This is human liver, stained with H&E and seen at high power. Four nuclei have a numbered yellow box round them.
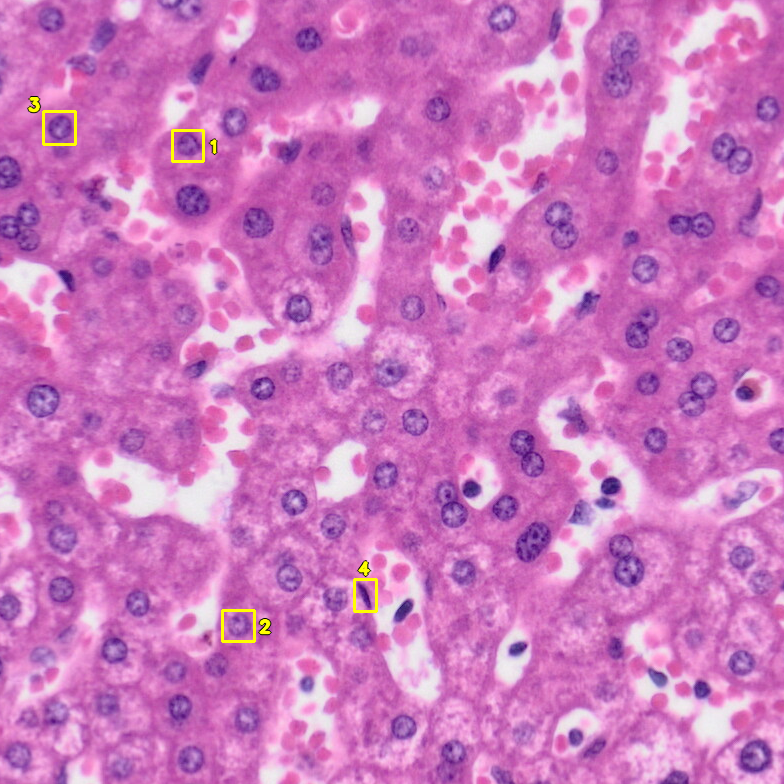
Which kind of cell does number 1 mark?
hepatocyte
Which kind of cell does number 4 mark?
fibroblast or stellate cell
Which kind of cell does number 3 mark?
hepatocyte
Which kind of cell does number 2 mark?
hepatocyte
